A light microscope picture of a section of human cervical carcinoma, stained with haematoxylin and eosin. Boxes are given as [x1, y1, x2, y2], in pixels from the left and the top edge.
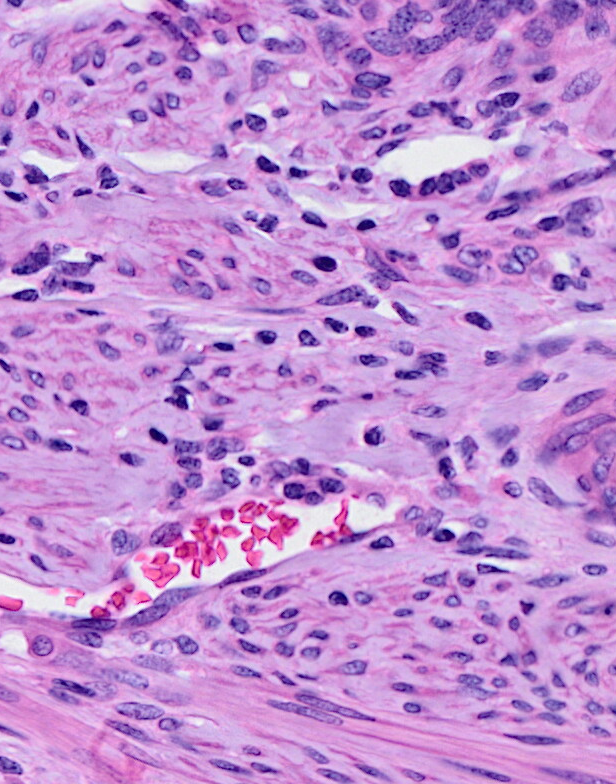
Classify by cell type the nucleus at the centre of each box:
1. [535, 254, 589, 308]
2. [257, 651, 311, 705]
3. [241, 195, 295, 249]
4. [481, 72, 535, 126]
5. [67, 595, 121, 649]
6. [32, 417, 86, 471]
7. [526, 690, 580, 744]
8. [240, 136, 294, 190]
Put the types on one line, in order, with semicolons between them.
lymphocyte; smooth muscle cell; lymphocyte; lymphocyte; endothelial cell; lymphocyte; smooth muscle cell; lymphocyte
